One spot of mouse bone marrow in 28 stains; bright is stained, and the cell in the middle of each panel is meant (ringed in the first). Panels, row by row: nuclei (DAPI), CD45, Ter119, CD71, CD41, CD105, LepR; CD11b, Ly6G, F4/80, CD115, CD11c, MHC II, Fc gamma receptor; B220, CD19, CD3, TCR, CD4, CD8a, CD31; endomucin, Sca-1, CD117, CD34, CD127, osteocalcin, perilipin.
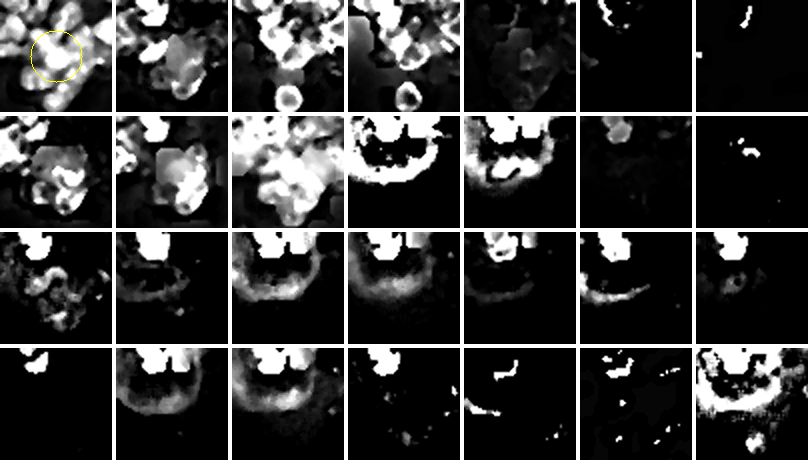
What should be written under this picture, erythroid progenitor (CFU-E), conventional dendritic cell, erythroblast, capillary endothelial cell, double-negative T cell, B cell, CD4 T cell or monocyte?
double-negative T cell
